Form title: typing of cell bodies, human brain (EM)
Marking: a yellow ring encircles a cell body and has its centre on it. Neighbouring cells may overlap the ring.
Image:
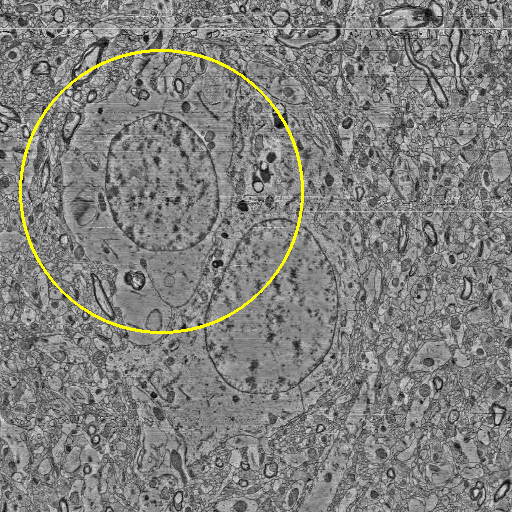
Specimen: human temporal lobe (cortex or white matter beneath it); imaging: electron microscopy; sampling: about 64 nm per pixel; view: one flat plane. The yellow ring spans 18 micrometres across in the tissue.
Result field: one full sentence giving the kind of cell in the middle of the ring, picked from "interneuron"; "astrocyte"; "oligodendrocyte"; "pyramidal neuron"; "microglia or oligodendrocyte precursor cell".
In the picture, the ring is centred on an astrocyte, whose cell body it encircles.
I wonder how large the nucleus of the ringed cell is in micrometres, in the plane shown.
The ringed cell's nucleus is about 9 micrometres long and 8 micrometres wide in this plane.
